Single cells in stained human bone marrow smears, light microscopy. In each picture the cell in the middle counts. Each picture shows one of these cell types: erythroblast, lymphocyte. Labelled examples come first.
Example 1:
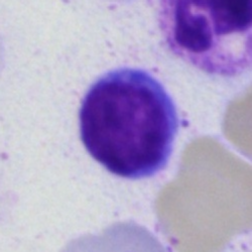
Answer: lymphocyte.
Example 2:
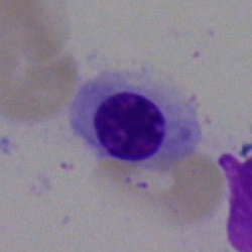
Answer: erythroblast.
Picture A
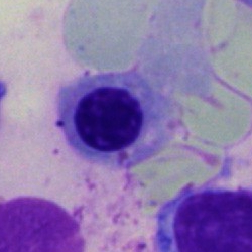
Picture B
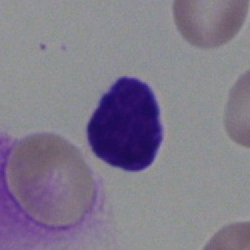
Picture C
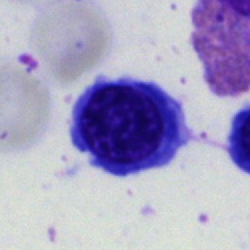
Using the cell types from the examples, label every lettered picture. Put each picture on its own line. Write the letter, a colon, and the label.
A: erythroblast.
B: lymphocyte.
C: erythroblast.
